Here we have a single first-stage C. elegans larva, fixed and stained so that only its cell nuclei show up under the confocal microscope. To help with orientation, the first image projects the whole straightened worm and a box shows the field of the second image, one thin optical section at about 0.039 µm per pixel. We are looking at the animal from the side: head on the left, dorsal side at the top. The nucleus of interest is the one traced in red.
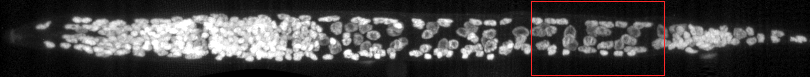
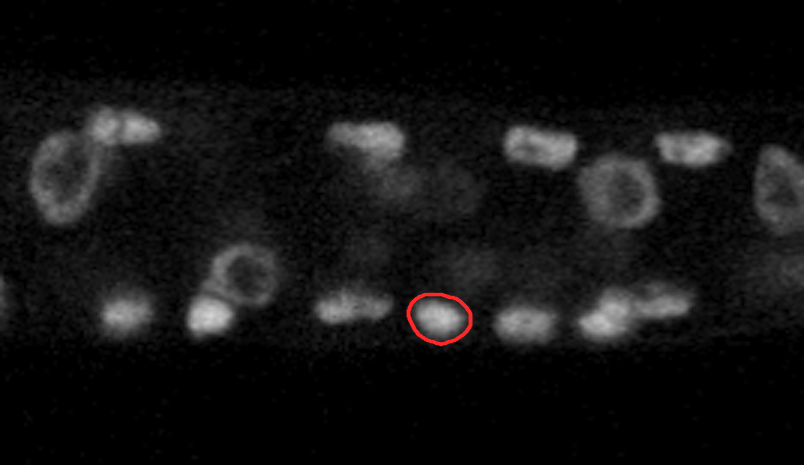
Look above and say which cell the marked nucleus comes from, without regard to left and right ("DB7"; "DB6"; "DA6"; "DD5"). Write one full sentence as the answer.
The marked nucleus is that of DD5, a neuron.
